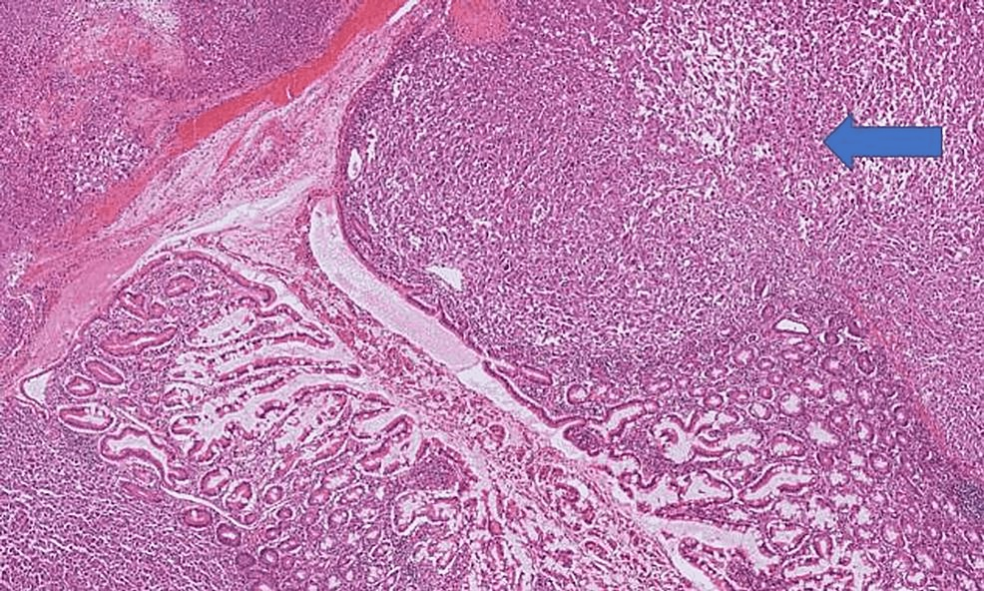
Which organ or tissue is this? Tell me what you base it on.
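Villus-like folds and crypts are lined by a single layer of columnar epithelium in the lower half. The lamina propria between the glands is cellular. That points to this answer: small bowel.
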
